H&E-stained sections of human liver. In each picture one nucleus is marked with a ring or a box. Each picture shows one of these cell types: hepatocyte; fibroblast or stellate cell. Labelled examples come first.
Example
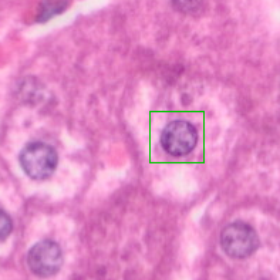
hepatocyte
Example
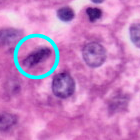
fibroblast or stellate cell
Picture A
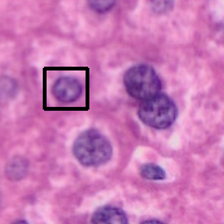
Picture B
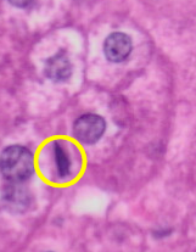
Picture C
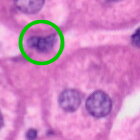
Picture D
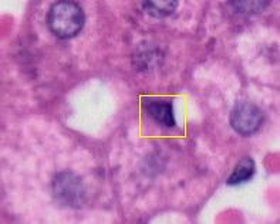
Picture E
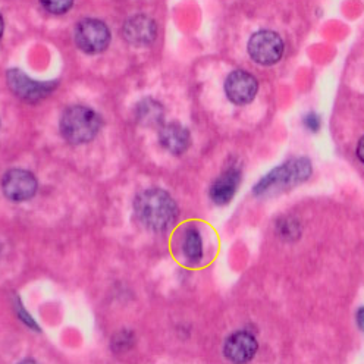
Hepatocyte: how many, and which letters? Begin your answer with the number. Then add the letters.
Count: 1 (A)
